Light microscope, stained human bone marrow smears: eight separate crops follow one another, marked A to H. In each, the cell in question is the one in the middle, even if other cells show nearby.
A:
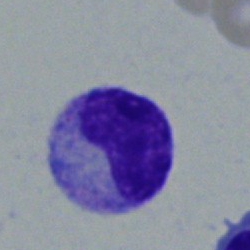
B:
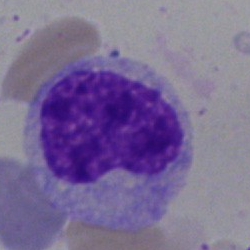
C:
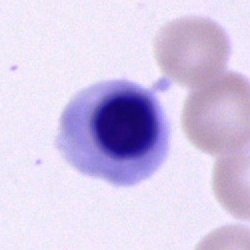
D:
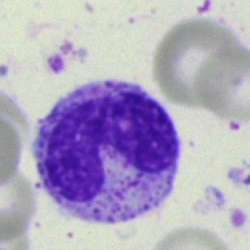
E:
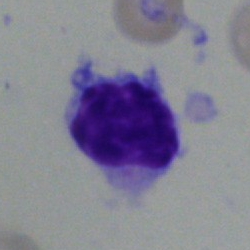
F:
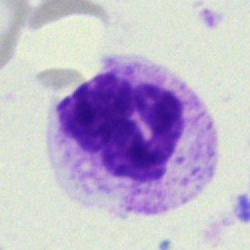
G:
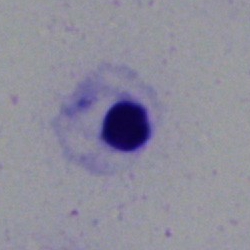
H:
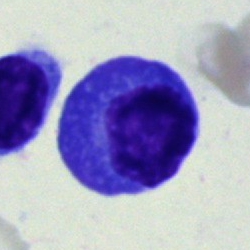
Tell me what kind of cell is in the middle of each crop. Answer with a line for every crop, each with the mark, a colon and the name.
A: metamyelocyte
B: metamyelocyte
C: erythroblast
D: band neutrophil
E: hairy cell
F: segmented neutrophil
G: erythroblast
H: plasma cell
